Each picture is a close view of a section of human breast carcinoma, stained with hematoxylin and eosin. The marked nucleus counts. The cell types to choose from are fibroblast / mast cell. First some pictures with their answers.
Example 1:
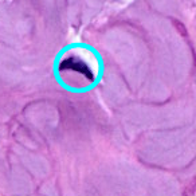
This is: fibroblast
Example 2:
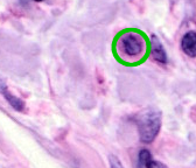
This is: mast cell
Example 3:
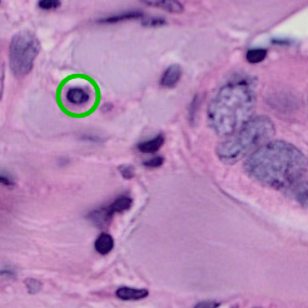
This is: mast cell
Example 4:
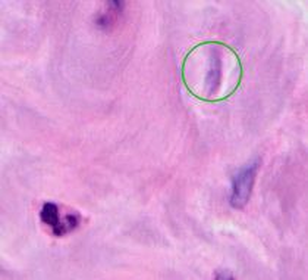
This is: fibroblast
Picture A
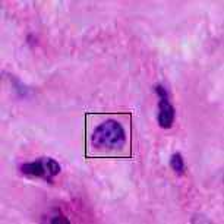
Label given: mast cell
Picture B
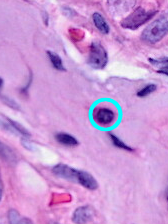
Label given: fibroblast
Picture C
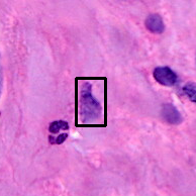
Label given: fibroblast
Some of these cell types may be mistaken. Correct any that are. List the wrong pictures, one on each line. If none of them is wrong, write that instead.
B: change fibroblast to mast cell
